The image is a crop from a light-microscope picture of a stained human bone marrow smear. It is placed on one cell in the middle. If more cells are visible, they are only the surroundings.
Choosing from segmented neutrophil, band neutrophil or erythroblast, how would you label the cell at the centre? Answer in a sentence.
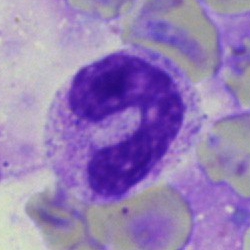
The cell featured at the centre of this crop is a band neutrophil.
